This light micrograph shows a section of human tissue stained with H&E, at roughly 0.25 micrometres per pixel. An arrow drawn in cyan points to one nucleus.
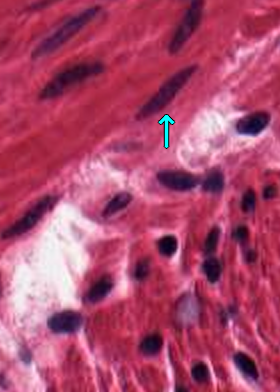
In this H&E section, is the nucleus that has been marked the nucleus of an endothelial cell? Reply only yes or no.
no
